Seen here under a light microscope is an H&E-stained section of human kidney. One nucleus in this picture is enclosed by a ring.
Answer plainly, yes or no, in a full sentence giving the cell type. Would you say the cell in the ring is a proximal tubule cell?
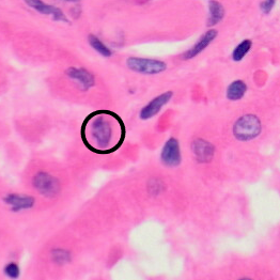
Yes, the statement that the cell in the ring is a proximal tubule cell is correct.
